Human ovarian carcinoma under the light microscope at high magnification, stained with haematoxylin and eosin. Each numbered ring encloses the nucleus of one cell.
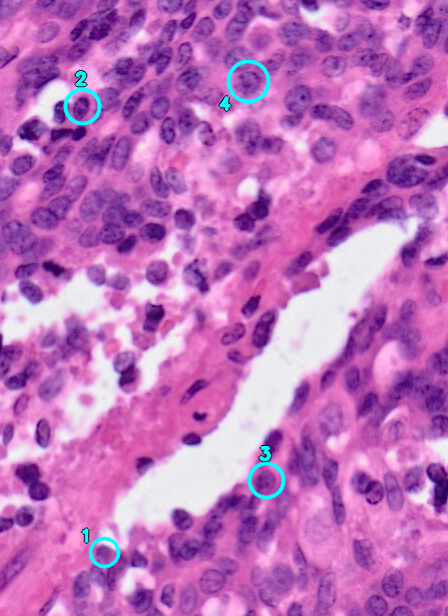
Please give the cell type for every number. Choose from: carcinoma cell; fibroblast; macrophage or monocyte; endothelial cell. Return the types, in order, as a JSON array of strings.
["carcinoma cell", "macrophage or monocyte", "carcinoma cell", "carcinoma cell"]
